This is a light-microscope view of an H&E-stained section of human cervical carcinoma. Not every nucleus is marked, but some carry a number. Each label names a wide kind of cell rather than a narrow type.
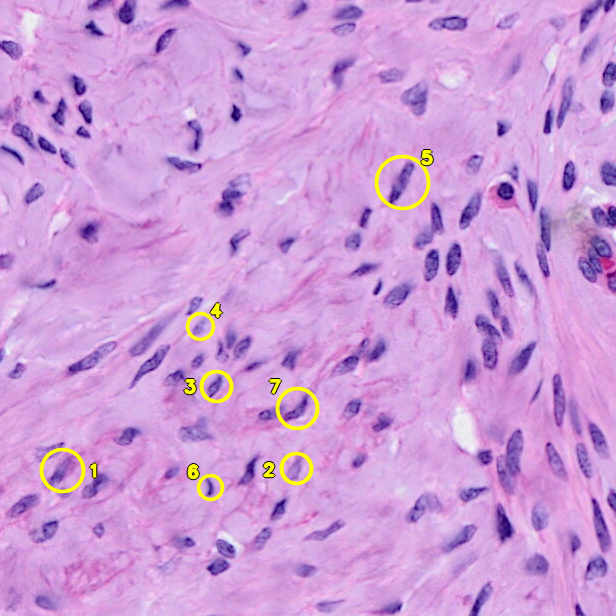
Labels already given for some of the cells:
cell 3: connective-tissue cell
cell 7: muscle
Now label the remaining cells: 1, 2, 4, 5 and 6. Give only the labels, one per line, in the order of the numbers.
muscle
muscle
connective-tissue cell
connective-tissue cell
connective-tissue cell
